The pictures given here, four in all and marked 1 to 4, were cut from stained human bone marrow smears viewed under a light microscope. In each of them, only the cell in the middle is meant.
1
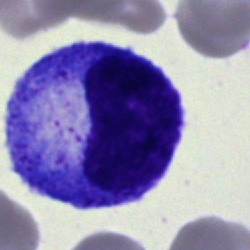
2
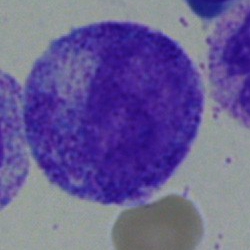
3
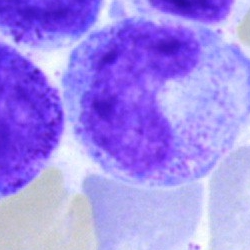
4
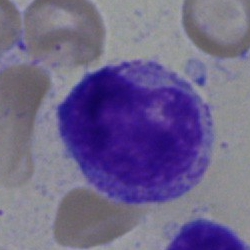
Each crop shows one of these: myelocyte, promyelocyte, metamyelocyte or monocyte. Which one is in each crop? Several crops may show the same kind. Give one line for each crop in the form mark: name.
1: promyelocyte
2: promyelocyte
3: metamyelocyte
4: myelocyte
